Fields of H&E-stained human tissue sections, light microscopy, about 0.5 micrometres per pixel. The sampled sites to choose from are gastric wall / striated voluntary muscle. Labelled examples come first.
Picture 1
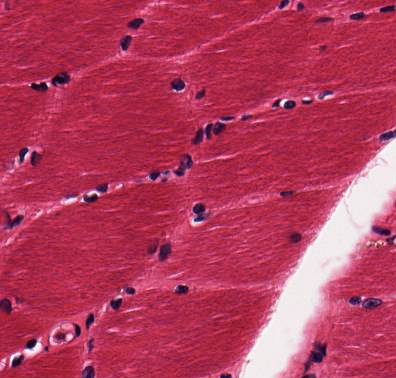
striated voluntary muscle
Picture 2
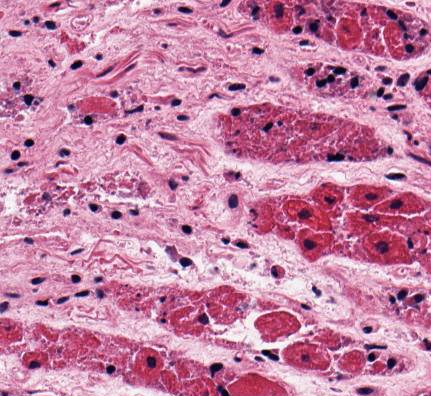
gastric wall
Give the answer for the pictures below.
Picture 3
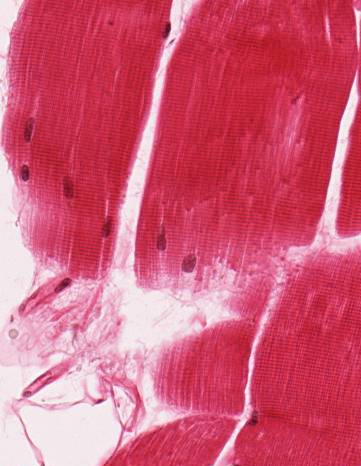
striated voluntary muscle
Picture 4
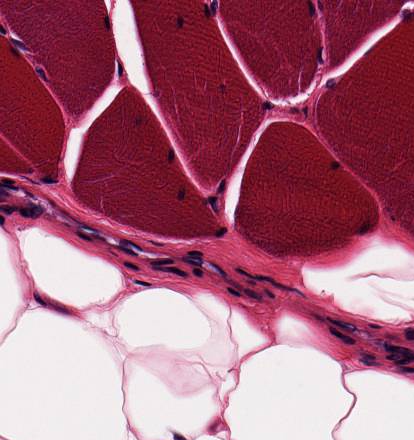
striated voluntary muscle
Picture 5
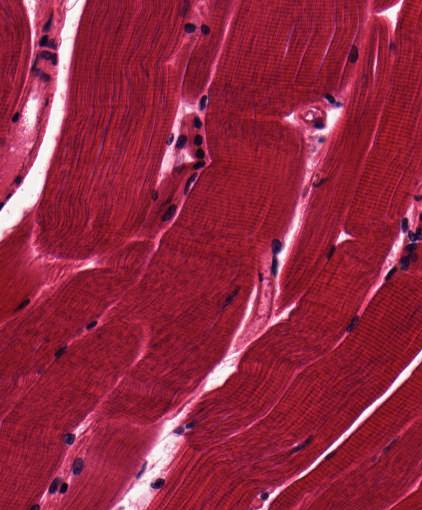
striated voluntary muscle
